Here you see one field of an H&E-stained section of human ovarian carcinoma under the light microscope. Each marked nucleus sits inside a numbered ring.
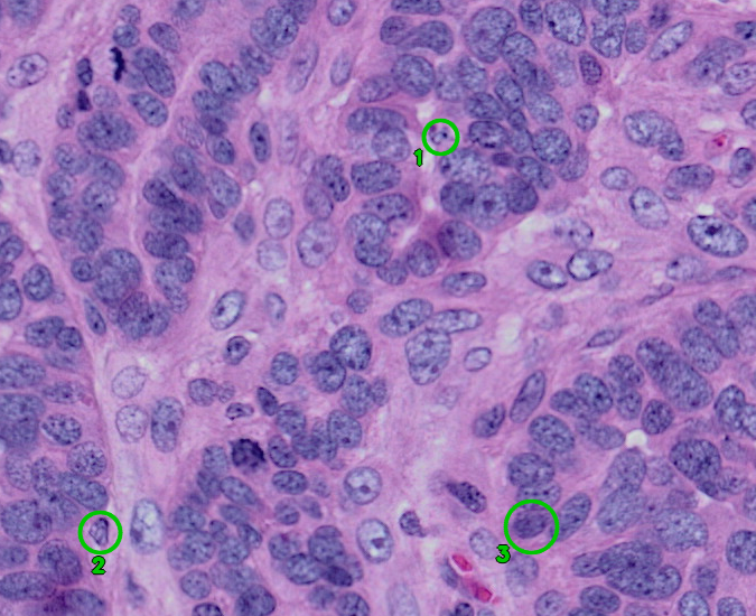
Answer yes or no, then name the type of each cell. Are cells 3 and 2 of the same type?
No, cell 3 is a carcinoma cell and cell 2 is a macrophage or monocyte.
